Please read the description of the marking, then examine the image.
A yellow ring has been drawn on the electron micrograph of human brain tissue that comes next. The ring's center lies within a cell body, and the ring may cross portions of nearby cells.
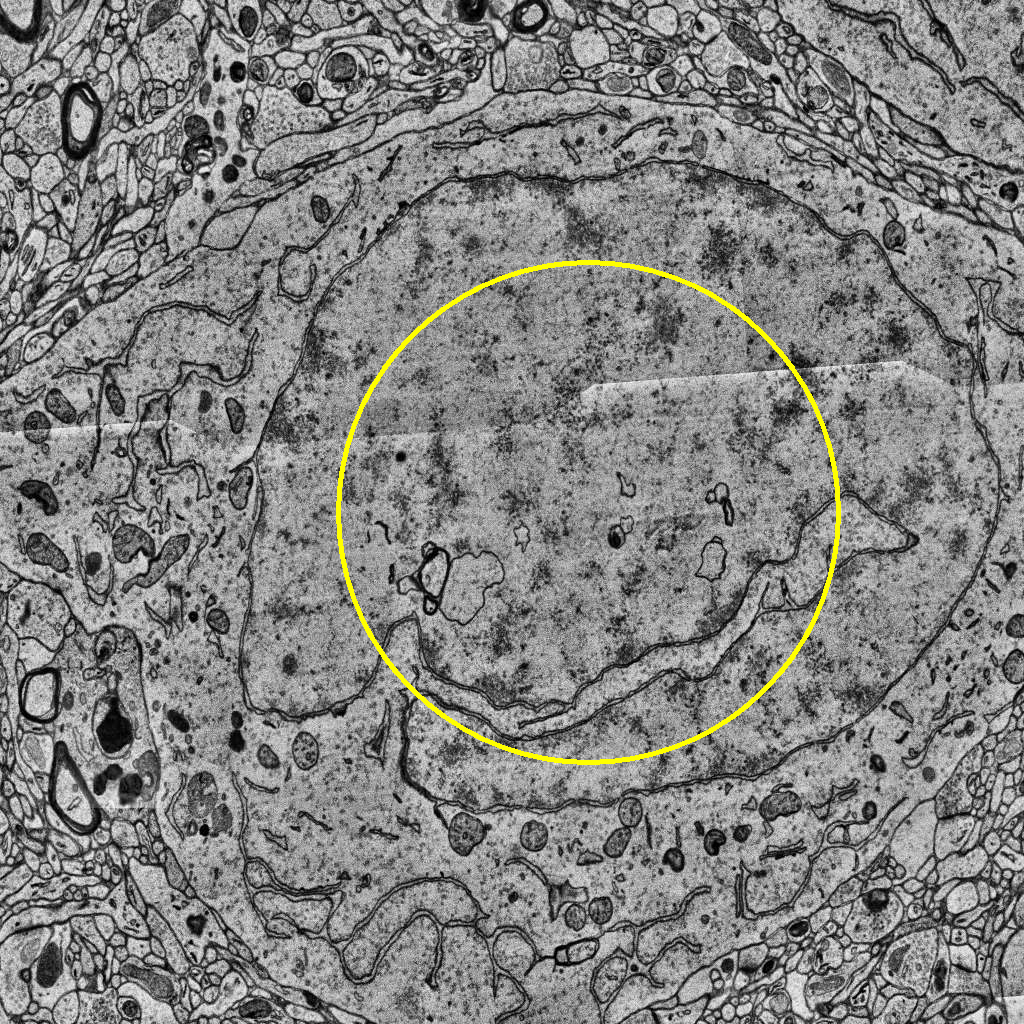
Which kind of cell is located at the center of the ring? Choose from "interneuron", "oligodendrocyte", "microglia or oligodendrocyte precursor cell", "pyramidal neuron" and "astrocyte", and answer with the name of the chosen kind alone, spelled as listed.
interneuron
